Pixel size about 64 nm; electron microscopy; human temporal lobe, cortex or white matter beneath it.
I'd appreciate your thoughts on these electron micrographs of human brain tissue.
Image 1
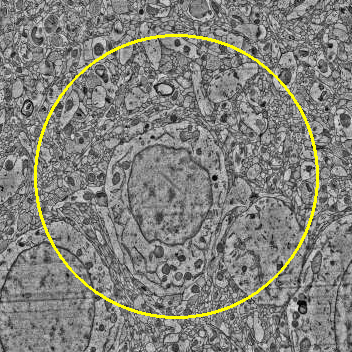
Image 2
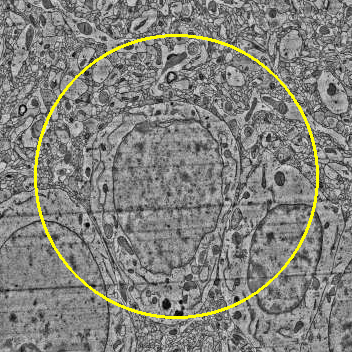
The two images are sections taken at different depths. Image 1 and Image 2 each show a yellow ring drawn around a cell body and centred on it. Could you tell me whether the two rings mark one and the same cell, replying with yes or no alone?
yes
